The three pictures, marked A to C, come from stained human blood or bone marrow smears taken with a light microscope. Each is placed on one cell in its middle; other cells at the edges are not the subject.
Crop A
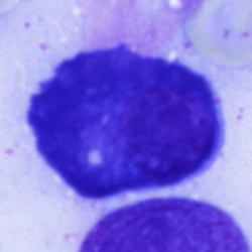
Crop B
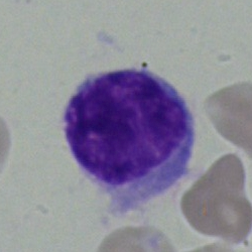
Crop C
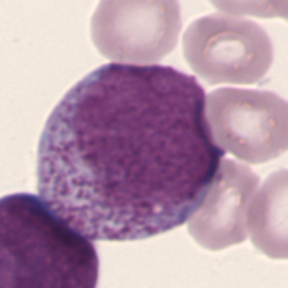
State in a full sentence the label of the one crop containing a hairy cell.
Here the crop that shows a hairy cell is crop B.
